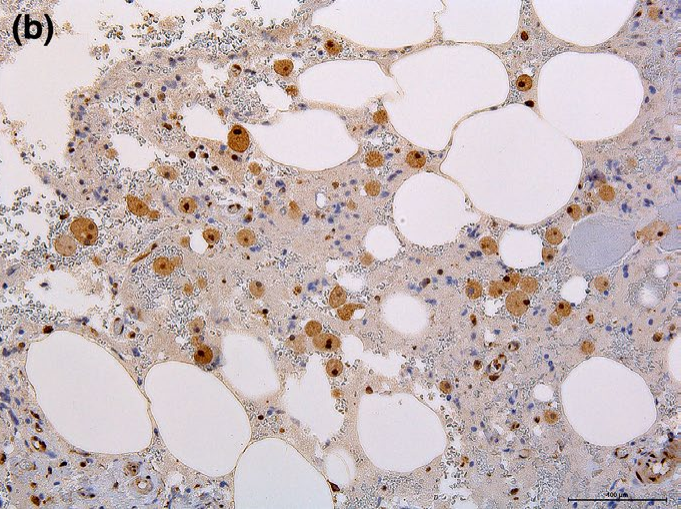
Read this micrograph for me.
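Adipose tissue is infiltrated by large round cells whose cytoplasm is stained brown. The round cells vary in size, some much larger than others, and lie scattered and clustered between the empty spaces of fat cells.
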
